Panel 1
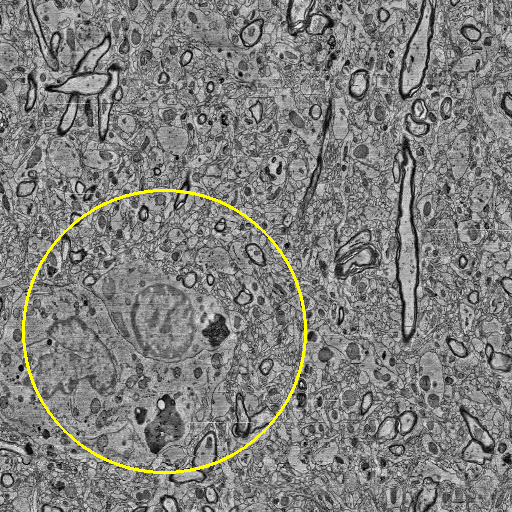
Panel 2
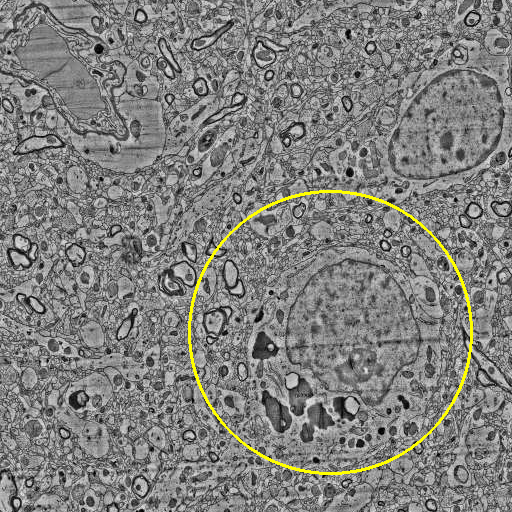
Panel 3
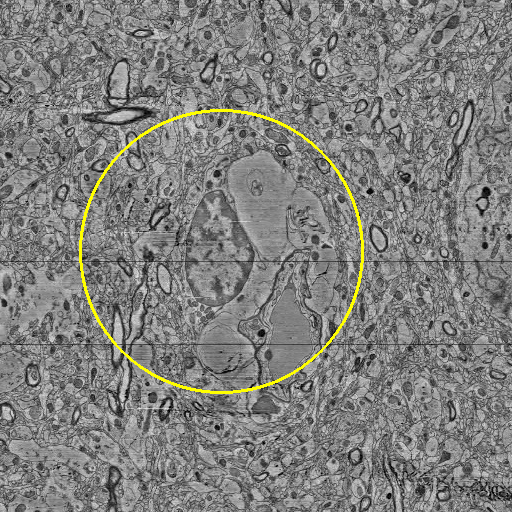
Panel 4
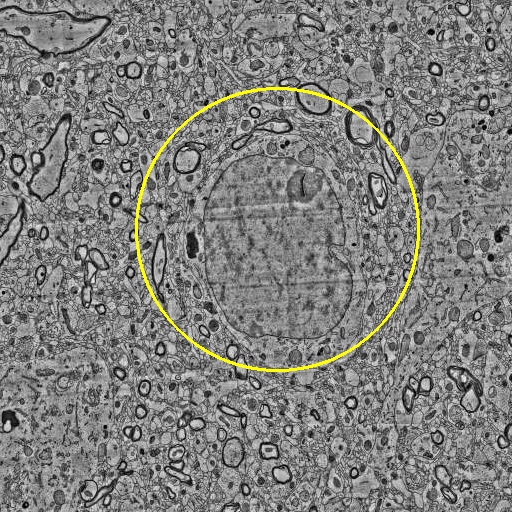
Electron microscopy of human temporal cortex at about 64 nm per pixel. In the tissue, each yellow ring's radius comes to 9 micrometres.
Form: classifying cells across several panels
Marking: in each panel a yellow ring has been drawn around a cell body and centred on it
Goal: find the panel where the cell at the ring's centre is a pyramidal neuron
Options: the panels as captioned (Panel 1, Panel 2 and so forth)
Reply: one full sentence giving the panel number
Panel 4 shows the wanted cell at the centre of its ring.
